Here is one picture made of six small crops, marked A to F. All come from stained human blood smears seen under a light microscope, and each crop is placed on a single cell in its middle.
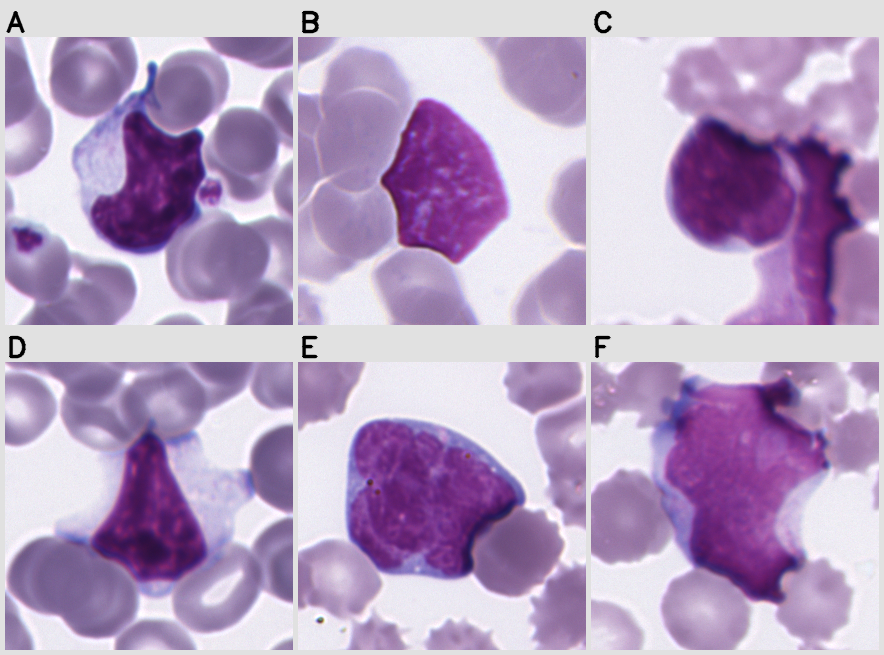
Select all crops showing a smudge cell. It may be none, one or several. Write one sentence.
With the exception of crop B, the crops do not show a smudge cell.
